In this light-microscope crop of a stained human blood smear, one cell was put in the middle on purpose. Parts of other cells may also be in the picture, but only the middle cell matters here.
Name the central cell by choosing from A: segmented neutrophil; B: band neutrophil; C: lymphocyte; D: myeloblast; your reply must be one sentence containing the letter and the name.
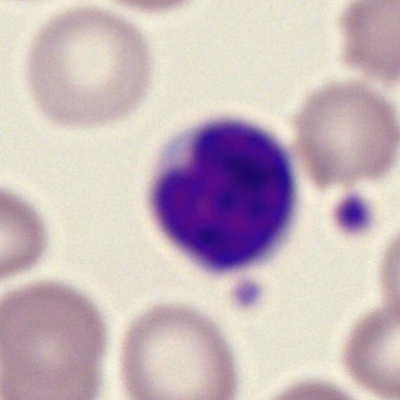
This one is option C, since the cell at the center is a lymphocyte.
